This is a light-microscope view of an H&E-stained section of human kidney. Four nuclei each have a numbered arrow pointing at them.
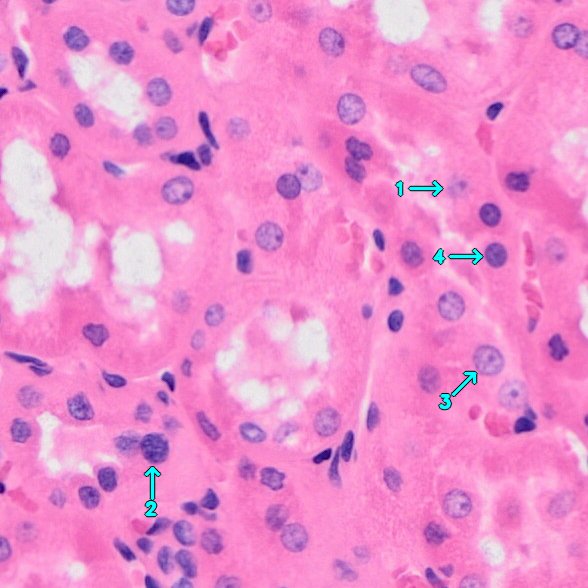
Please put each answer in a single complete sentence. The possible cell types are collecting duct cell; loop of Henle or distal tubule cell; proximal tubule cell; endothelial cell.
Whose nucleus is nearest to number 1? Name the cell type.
The nucleus nearest to number 1 is that of a proximal tubule cell.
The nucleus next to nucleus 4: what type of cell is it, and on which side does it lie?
Lying above nucleus 4, the nearest nucleus is that of a proximal tubule cell.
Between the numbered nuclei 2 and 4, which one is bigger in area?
Nucleus 2 is the larger one, covering about 1.5 times the area of nucleus 4.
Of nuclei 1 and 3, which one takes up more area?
Number 3 is larger; its area is about 2 times that of number 1.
